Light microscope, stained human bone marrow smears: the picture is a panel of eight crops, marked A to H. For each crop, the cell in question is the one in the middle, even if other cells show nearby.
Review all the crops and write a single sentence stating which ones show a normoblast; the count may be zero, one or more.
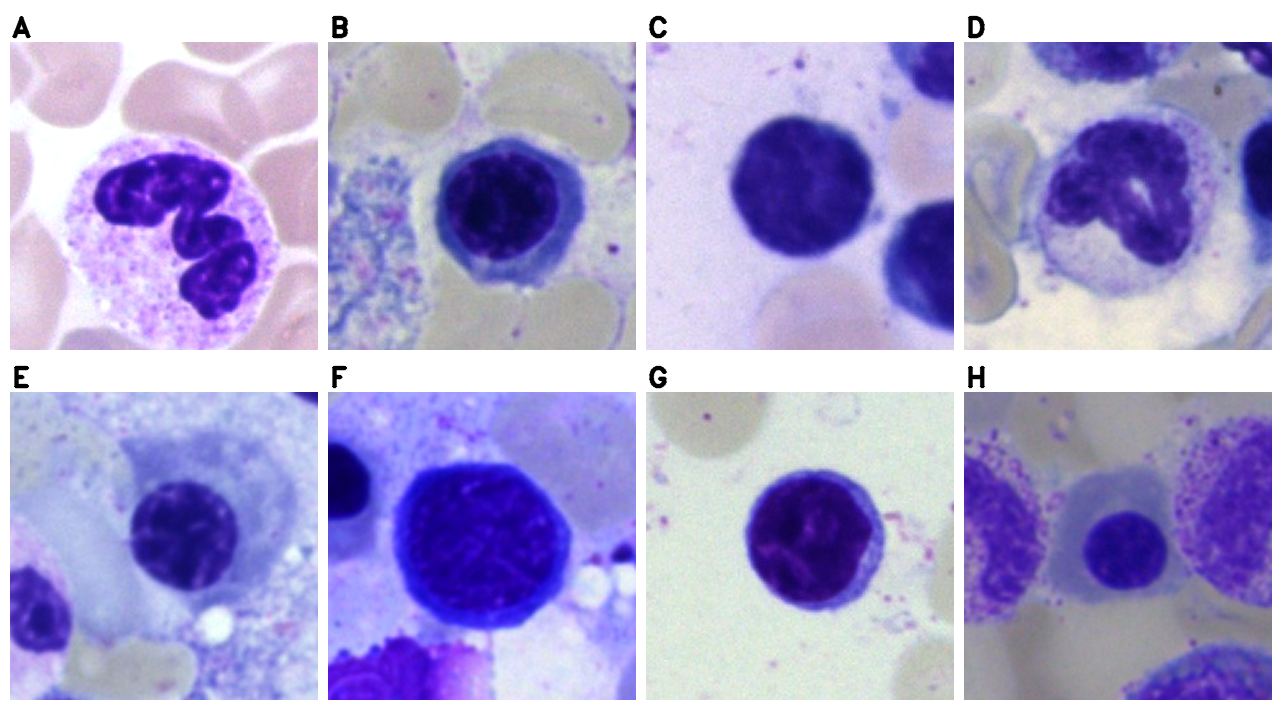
Looking at crops B, E, F and H, the middle cells are normoblasts.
